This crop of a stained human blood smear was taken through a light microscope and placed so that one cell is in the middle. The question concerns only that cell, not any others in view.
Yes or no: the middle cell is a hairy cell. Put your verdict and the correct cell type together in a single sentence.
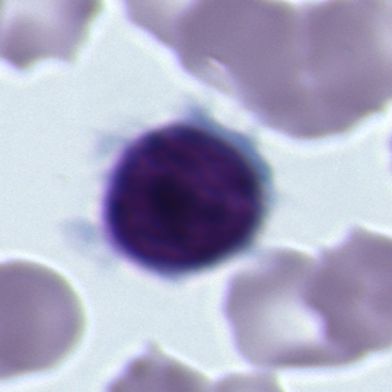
Yes, the cell of interest in the middle is a hairy cell.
